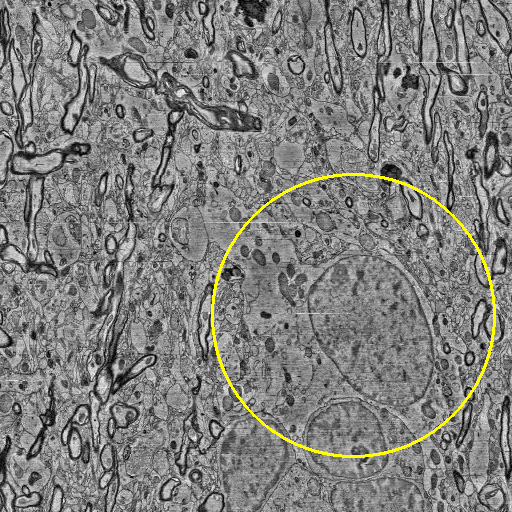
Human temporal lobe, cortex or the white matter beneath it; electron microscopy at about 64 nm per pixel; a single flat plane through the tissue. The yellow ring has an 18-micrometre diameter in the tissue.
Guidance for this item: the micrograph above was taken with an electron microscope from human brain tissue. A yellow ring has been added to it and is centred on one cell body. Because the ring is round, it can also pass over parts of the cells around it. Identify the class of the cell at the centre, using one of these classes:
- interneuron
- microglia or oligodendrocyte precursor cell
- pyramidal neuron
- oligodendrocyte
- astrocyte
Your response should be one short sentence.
The ring surrounds the body of an astrocyte.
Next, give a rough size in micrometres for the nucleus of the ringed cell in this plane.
In this plane, about 12 by 7 micrometres: the nucleus is clearly longer than it is wide.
